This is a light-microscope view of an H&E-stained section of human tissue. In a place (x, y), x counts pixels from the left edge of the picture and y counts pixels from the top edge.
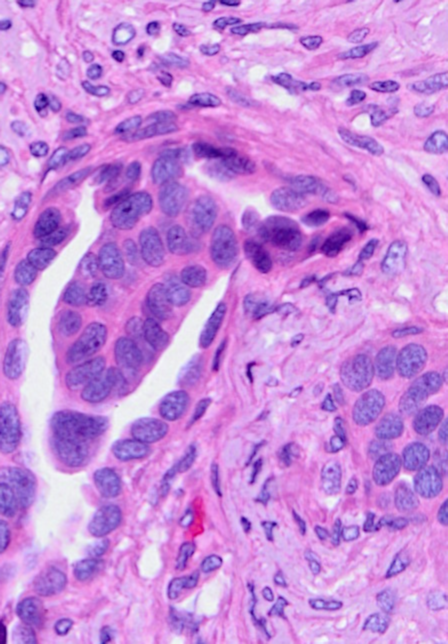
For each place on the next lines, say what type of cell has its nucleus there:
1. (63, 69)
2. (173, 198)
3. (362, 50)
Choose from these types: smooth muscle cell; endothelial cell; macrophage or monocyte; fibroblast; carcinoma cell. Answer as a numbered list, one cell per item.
1. fibroblast
2. carcinoma cell
3. fibroblast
